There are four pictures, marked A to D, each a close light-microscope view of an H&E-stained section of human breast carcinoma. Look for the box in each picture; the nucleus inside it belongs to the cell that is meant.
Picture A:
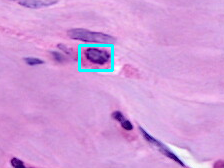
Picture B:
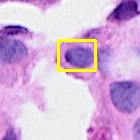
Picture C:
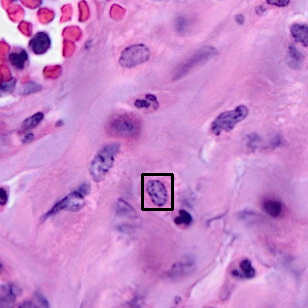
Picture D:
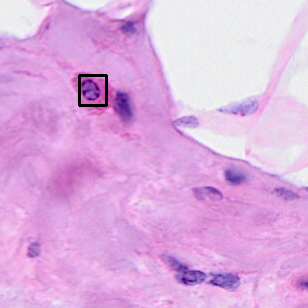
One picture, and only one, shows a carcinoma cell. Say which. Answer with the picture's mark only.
B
